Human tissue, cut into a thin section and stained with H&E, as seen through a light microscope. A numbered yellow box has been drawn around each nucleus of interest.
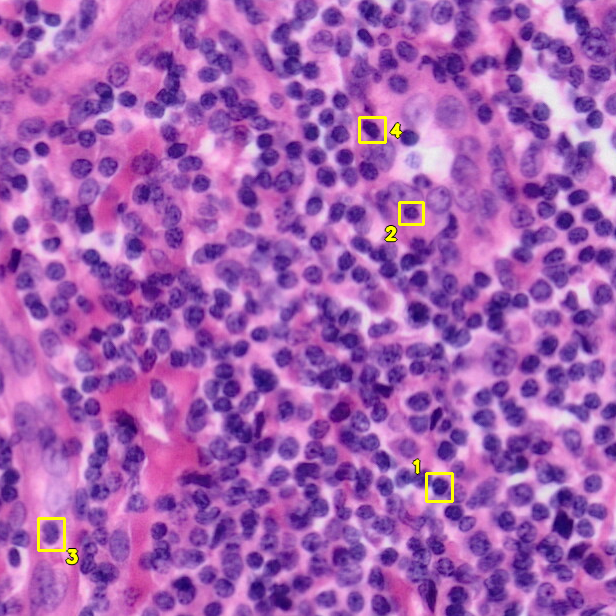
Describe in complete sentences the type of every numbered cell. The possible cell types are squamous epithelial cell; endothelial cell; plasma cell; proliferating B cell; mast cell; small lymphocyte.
Cell 1 is a small lymphocyte. Cells 2, 3 and 4 are endothelial cells.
